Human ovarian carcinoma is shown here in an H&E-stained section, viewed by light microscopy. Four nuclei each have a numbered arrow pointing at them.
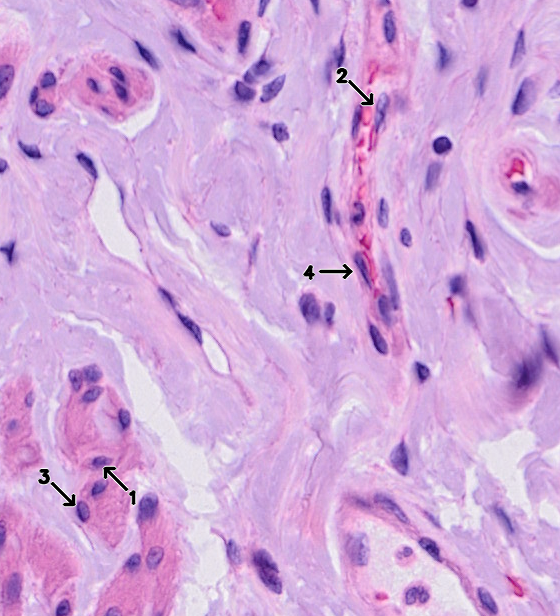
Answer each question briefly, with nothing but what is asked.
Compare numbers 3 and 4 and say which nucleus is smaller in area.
3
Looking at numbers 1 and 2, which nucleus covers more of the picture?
2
